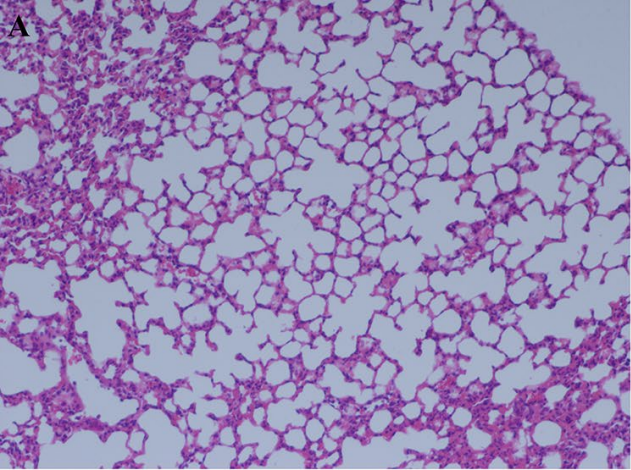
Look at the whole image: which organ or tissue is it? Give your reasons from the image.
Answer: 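Many small, thin-walled, empty air spaces fill the field. Thin pink septa with scattered nuclei separate the air spaces. The air spaces form a sponge-like network. That points to this answer: lung parenchyma.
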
